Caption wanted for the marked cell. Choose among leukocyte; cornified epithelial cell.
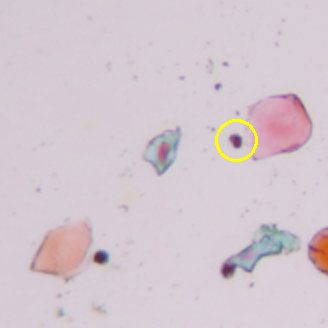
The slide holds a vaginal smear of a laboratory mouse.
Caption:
Ringed in yellow is a leukocyte.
